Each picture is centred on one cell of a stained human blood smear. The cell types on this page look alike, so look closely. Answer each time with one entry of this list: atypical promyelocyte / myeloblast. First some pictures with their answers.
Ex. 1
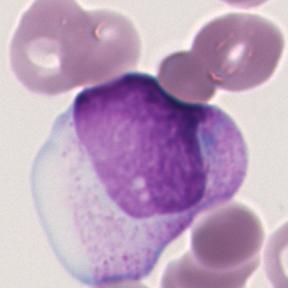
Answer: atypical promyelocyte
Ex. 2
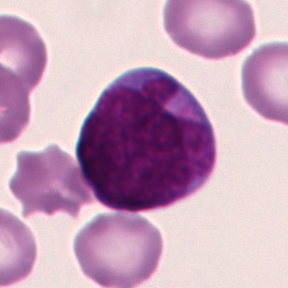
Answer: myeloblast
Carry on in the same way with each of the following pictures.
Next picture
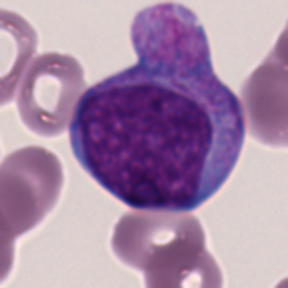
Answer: atypical promyelocyte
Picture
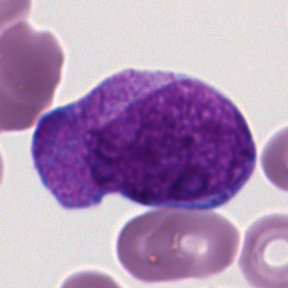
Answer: atypical promyelocyte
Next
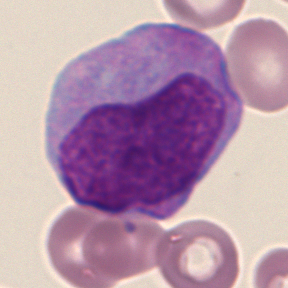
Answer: atypical promyelocyte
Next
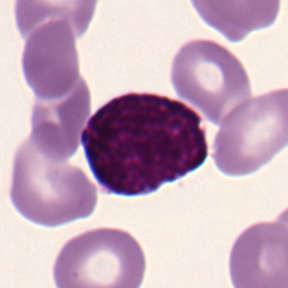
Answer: myeloblast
